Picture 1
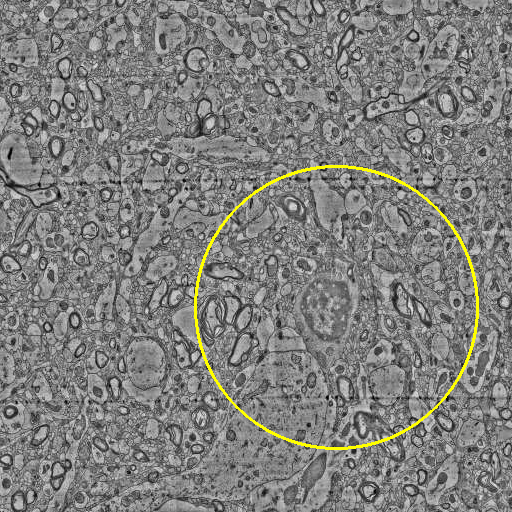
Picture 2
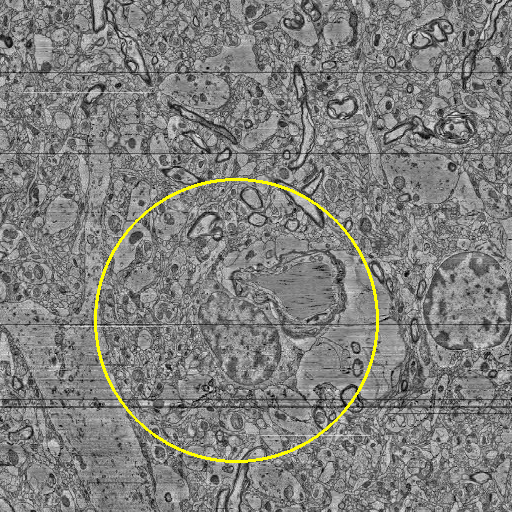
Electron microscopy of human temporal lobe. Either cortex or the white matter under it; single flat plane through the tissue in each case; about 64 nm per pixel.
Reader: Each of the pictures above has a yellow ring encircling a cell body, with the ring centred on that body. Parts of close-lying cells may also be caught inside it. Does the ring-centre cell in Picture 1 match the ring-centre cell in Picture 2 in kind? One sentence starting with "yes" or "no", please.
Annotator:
Yes, Picture 1 and Picture 2 show ring-centre cells of a single kind.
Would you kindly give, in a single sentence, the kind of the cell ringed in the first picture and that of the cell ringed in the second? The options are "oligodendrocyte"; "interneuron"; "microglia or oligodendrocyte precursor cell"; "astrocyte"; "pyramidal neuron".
Each of the ringed cells, first and second, is an oligodendrocyte.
